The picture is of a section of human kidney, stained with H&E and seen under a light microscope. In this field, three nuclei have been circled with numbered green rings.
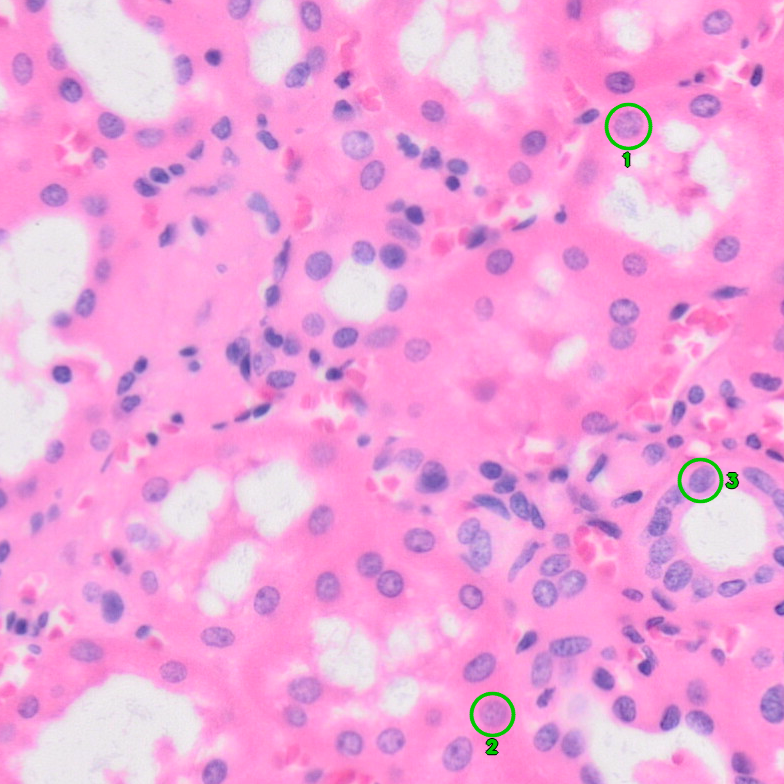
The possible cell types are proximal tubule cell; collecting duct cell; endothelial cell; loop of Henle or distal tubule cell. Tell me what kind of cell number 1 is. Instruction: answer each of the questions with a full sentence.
Cell 1 of the marked set is a proximal tubule cell.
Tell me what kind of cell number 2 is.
The cell that bears the number 2 is a proximal tubule cell.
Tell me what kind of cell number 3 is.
The correct answer for cell 3 is a collecting duct cell.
